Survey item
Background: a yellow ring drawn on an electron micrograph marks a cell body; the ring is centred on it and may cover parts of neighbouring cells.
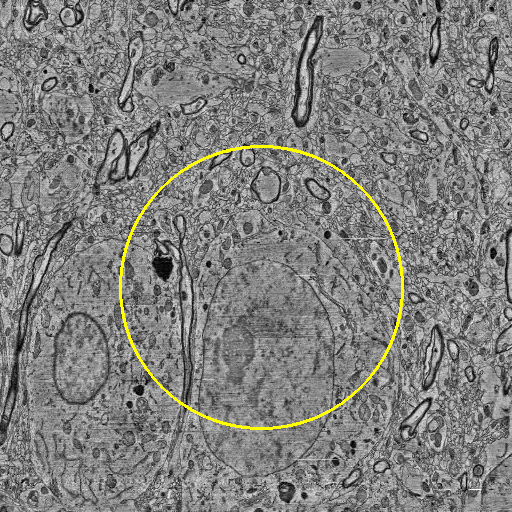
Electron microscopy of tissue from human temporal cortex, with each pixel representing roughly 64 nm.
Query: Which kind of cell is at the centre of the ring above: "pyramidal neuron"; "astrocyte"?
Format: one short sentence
The cell in the middle of the ring is a pyramidal neuron.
